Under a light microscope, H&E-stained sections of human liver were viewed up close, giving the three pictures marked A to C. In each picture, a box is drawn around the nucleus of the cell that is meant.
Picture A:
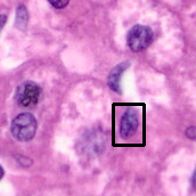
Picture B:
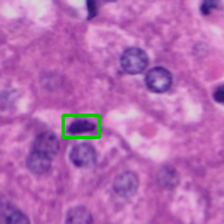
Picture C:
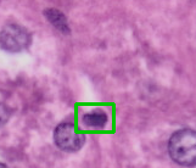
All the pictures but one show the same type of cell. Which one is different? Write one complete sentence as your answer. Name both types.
Picture C differs, because its cell is a lymphocyte and the rest are “fibroblasts or stellate cells”.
